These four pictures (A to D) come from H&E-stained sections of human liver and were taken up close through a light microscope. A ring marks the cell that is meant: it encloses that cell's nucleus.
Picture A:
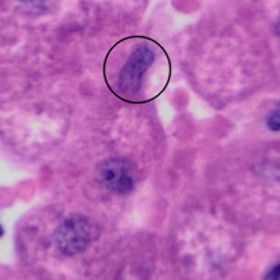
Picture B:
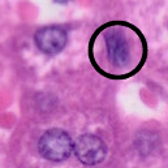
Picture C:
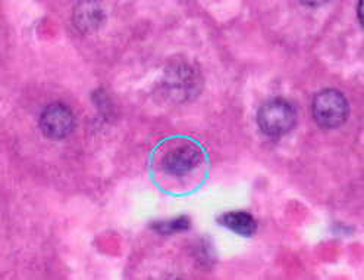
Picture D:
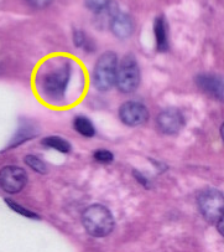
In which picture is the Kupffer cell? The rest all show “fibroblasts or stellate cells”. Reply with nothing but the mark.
A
